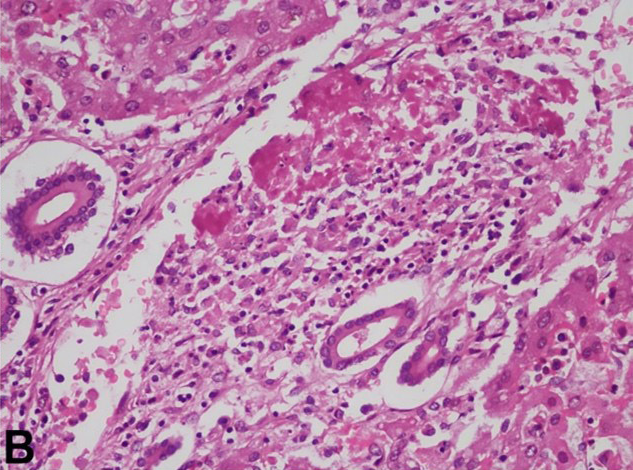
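This field shows a portal tract of the liver in which a vessel is filled with a fibrin thrombus. Small bile ducts lined by a single layer of cuboidal cells with round dark nuclei sit in loose pink connective tissue. Clumps of pink, amorphous fibrinous material occupy much of the vascular space, with inflammatory cells scattered through it. At the edges, hepatocytes appear as large polygonal cells with abundant pink cytoplasm and round central nuclei.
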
